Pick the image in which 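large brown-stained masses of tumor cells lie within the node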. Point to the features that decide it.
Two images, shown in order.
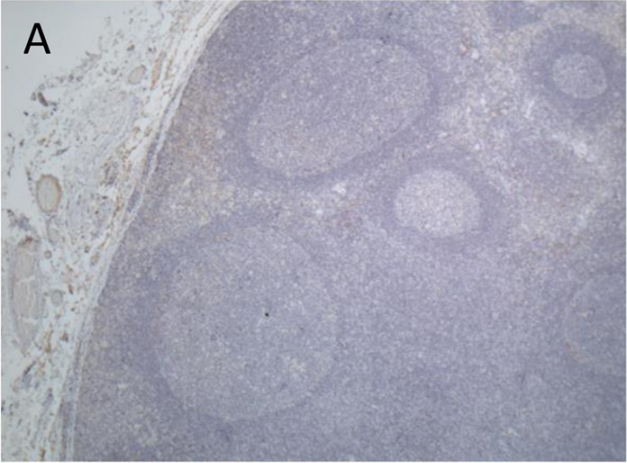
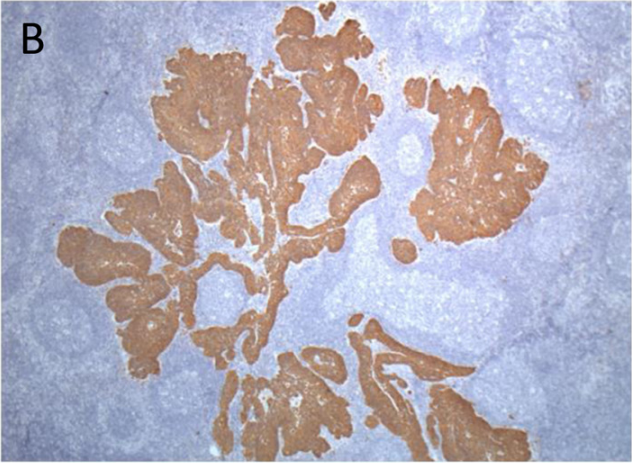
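Second image: large branching brown masses spread between the follicles. First image: the node shows only blue lymphoid tissue and follicles with no brown clusters. On this evidence: the second image.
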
